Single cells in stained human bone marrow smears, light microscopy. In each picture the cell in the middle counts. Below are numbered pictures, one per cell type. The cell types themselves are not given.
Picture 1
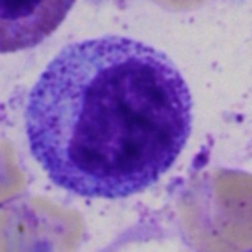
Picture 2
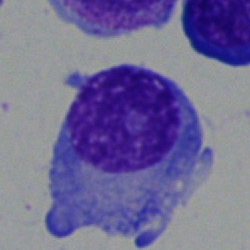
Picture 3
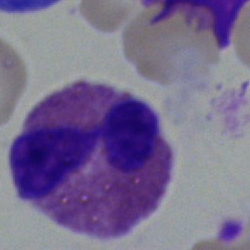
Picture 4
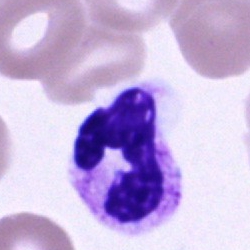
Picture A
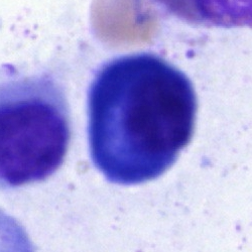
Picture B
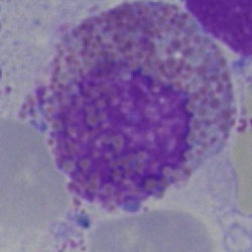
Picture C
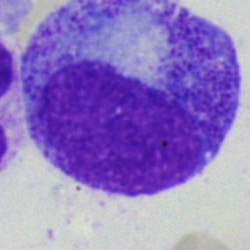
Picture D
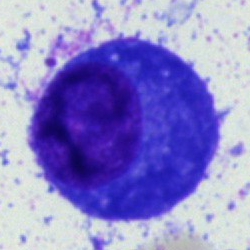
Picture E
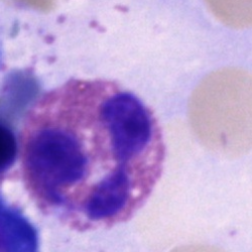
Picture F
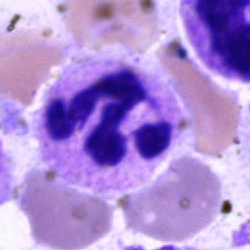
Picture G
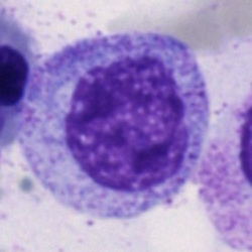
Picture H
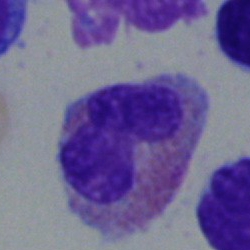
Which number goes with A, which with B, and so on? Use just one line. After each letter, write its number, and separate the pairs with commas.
A 2, B 3, C 1, D 2, E 3, F 4, G 1, H 3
